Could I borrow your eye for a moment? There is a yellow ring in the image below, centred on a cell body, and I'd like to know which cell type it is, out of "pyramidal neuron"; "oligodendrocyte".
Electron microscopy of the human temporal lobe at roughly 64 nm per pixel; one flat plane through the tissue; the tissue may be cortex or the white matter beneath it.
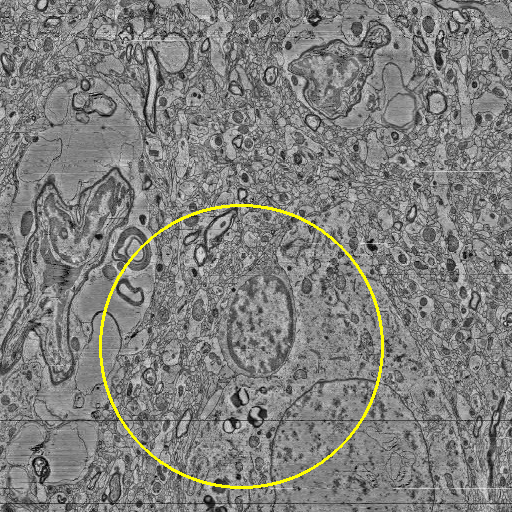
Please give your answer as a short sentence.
The cell body at the centre is that of an oligodendrocyte.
